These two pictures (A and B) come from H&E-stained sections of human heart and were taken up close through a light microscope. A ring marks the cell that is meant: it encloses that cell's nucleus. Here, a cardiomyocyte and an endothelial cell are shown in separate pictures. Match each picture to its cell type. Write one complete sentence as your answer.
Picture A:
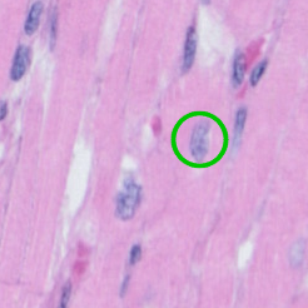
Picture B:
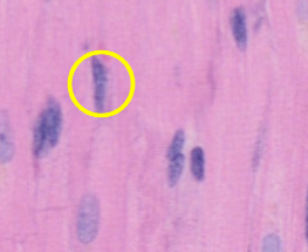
It is picture A that shows a cardiomyocyte, and picture B that shows an endothelial cell.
